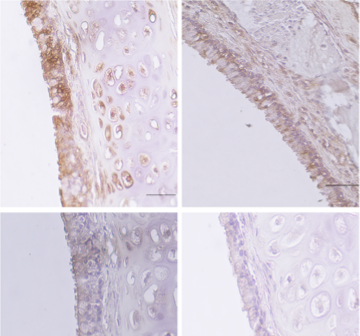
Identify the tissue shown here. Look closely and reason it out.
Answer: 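A thin epithelial layer lines one free surface of the tissue. Beneath it lies a plate of cartilage with rounded cells sitting in lacunae within a pale matrix. A band of loose connective tissue separates the lining from the cartilage.
Hence: tracheae.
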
